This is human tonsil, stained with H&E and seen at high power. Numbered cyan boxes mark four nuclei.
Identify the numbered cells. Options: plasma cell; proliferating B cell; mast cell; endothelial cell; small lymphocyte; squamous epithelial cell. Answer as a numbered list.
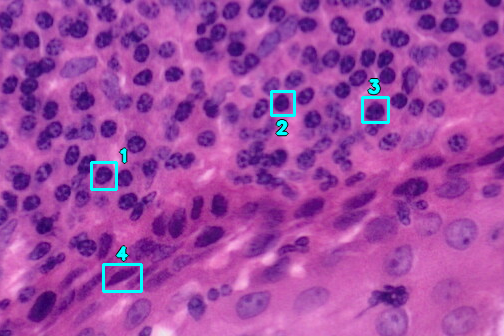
1. plasma cell
2. plasma cell
3. plasma cell
4. squamous epithelial cell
